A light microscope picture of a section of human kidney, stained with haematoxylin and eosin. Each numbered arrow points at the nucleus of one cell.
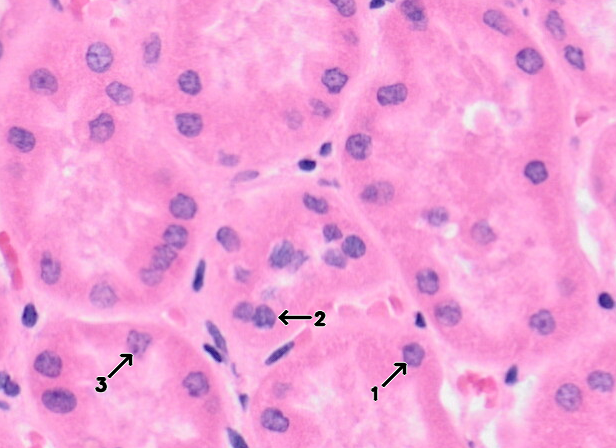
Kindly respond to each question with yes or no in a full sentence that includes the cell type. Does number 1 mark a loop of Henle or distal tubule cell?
No, the cell at marker 1 is not a loop of Henle or distal tubule cell; it is a proximal tubule cell.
